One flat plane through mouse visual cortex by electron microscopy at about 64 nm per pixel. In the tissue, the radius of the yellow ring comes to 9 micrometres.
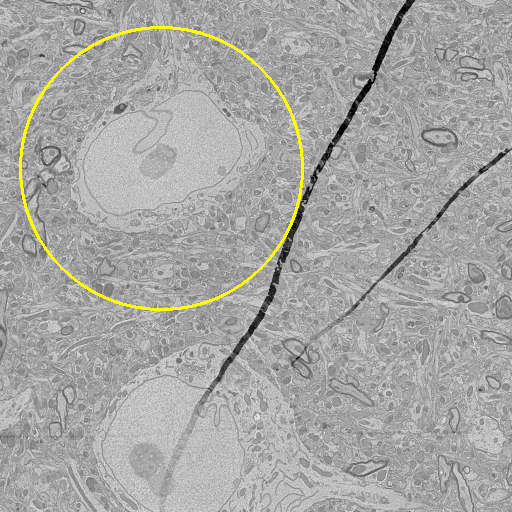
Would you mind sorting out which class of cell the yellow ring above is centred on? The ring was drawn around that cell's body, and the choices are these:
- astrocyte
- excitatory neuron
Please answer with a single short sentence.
This is the cell body of an excitatory neuron.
